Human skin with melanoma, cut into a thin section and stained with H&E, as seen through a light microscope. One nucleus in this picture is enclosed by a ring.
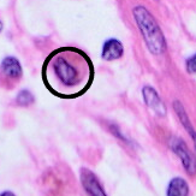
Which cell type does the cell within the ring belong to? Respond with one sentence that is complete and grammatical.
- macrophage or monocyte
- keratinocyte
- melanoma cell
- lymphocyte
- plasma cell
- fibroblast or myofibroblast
In this field of tissue, the cell within the ring is a macrophage or monocyte.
